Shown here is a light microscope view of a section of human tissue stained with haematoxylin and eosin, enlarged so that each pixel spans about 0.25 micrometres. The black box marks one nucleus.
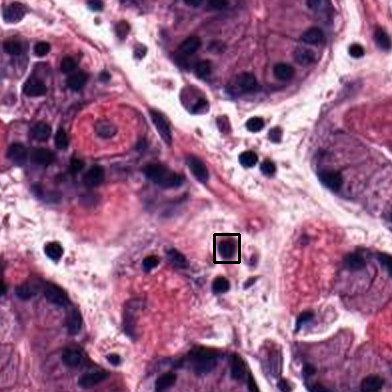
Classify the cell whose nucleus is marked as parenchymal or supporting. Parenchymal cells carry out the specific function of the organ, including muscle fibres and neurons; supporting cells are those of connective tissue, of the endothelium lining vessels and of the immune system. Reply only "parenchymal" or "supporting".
supporting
